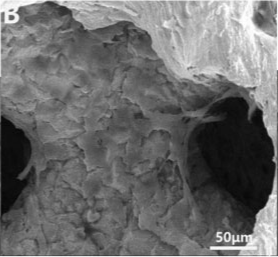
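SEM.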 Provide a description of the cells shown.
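Two large dark openings are the pores, and the surface between them is covered by flattened, spread cells. At the rims of the pores, the cells stretch thin sheet-like extensions across the edges and into the openings.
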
